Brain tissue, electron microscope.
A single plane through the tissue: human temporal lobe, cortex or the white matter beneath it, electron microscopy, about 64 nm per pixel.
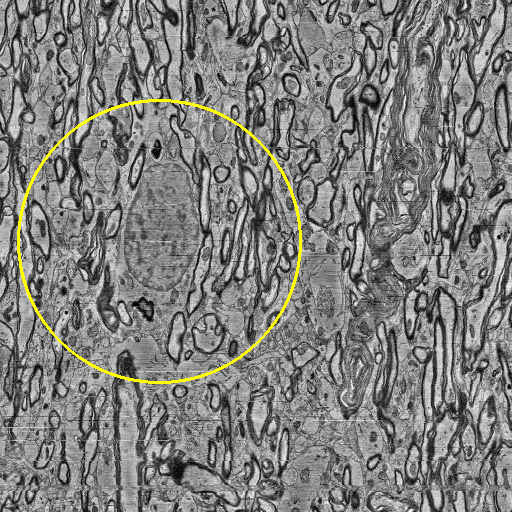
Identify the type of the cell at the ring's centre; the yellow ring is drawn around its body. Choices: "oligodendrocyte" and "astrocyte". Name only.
oligodendrocyte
